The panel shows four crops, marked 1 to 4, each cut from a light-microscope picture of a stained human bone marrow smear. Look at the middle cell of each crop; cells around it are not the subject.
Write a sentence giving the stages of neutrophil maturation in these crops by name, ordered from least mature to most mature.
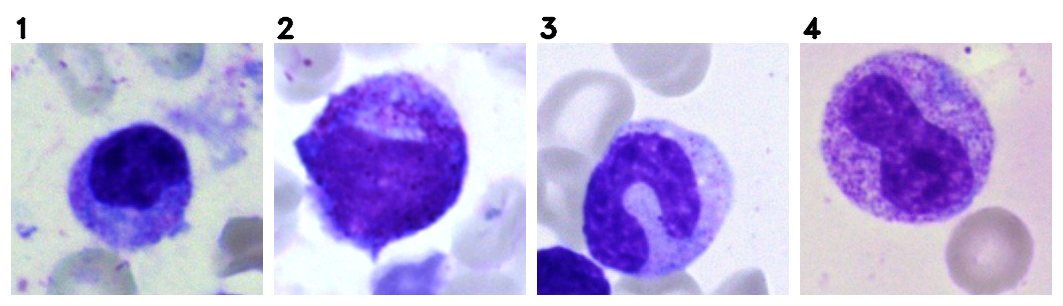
The sequence from earliest to most advanced maturity is crop 2 (a promyelocyte), crop 1 (a myelocyte), crop 4 (a metamyelocyte) and crop 3 (a band neutrophil).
